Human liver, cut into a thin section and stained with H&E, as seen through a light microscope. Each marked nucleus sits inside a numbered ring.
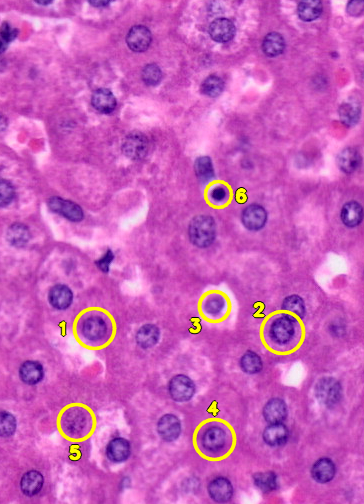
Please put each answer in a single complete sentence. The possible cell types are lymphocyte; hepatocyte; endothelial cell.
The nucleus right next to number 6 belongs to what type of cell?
The nearest nucleus to number 6 belongs to an endothelial cell.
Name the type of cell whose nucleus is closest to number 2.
It is a hepatocyte whose nucleus is nearest to number 2.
